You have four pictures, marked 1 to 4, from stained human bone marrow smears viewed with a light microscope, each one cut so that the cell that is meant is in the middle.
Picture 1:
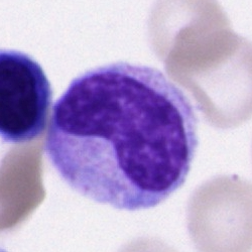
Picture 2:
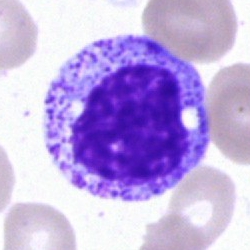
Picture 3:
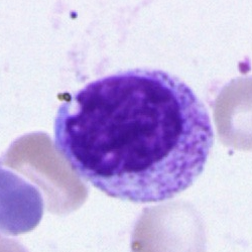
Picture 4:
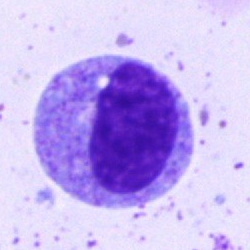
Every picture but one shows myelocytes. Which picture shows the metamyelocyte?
1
